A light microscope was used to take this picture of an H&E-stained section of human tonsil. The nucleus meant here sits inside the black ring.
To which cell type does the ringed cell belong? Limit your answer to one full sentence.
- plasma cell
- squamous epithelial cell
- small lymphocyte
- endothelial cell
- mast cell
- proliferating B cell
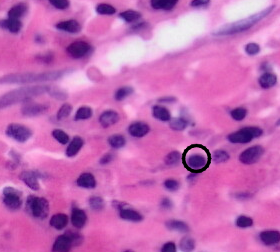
The identity of the ringed cell: it is a mast cell.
